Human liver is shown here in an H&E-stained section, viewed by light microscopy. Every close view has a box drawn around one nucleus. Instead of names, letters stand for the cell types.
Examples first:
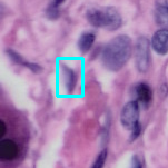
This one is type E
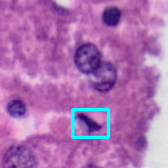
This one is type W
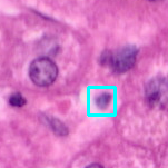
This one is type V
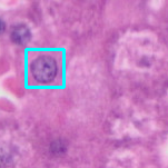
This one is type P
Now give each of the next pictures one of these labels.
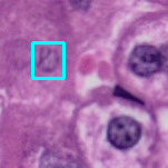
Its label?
type P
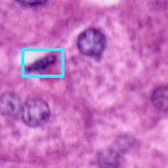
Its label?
type W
